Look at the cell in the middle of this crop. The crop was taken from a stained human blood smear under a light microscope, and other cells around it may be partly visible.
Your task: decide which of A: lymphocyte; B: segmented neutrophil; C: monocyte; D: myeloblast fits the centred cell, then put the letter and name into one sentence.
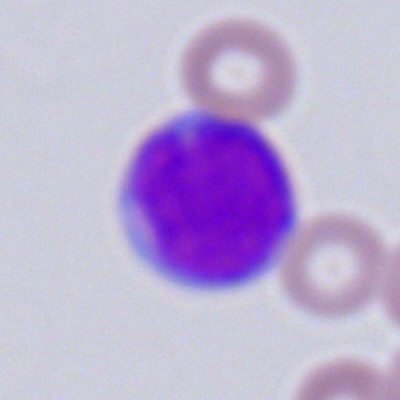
The middle of the crop contains a myeloblast, so option D is right.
